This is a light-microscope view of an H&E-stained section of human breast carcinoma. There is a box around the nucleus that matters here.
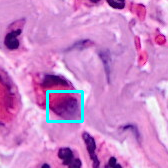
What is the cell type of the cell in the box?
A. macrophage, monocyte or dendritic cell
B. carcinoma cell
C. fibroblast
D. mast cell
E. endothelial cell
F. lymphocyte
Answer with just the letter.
E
